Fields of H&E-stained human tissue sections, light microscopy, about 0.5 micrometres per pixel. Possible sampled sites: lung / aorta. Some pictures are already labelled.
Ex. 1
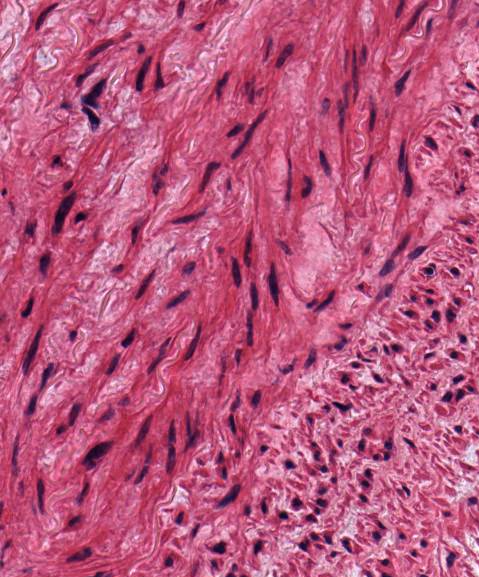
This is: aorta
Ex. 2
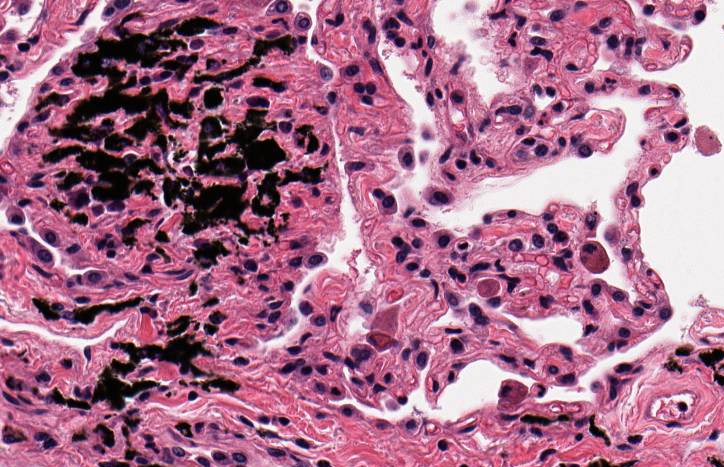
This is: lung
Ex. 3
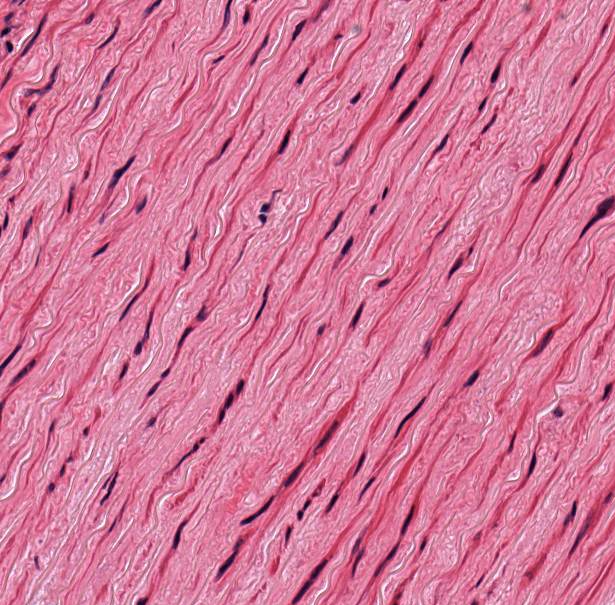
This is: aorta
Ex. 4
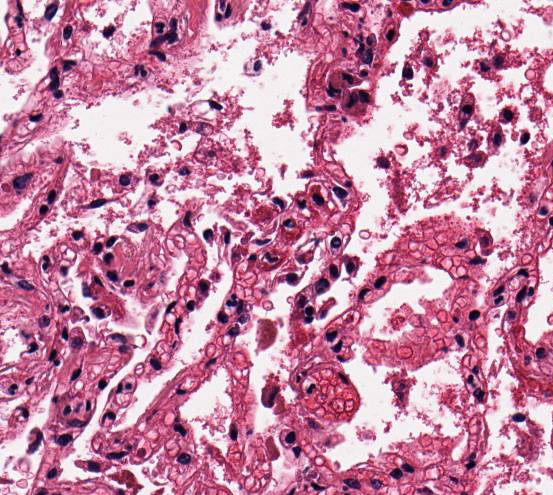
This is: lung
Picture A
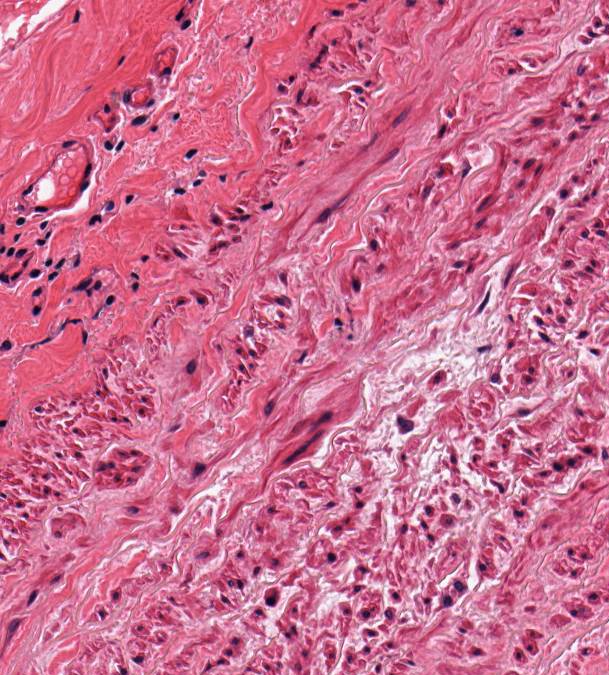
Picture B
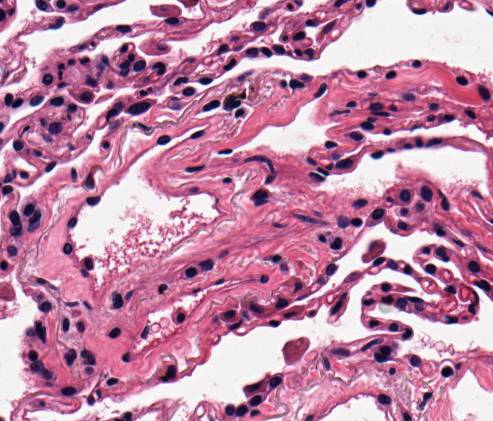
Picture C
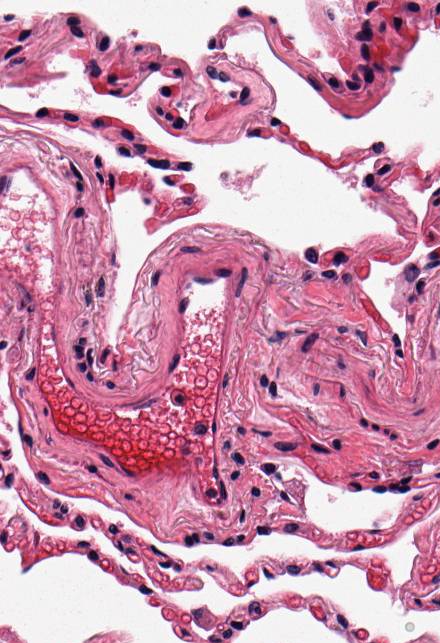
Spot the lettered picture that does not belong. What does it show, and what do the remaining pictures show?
A (aorta) is the exception; every other picture is lung.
